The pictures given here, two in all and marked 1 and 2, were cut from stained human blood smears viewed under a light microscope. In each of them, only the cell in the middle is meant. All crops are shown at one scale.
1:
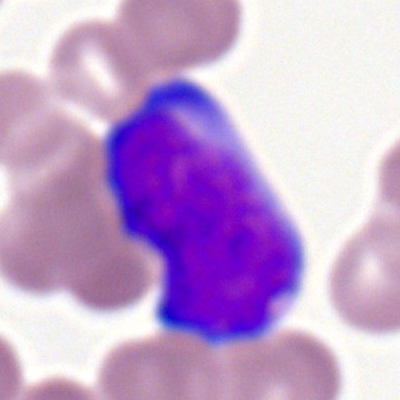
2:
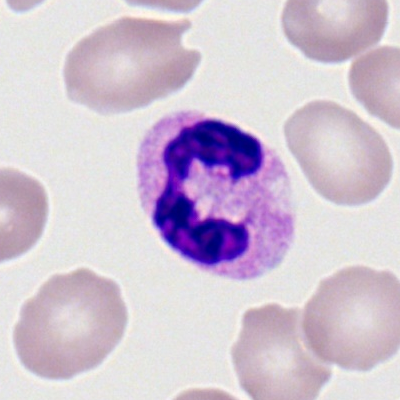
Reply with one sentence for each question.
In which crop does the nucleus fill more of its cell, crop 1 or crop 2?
It is the cell in crop 1 that is filled more by its nucleus.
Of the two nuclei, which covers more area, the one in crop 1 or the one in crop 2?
The nucleus in crop 1 is larger, with about 2.5 times the area of the one in crop 2.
